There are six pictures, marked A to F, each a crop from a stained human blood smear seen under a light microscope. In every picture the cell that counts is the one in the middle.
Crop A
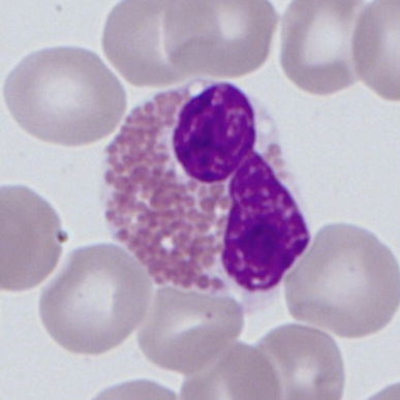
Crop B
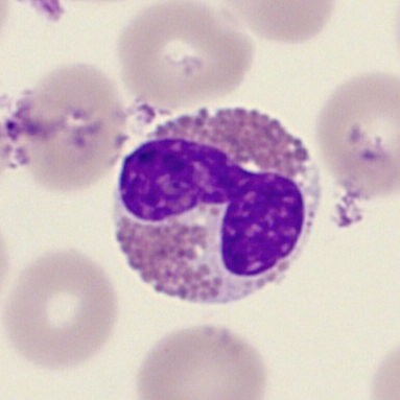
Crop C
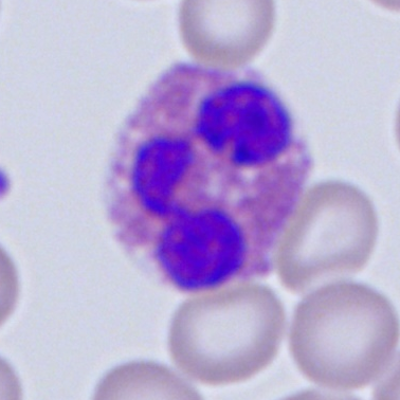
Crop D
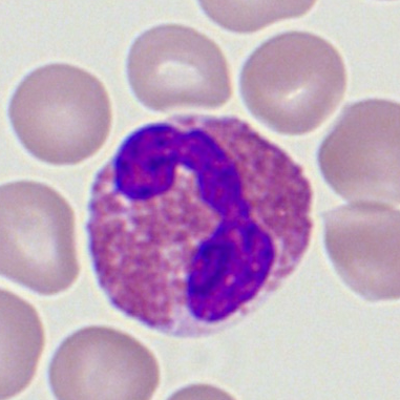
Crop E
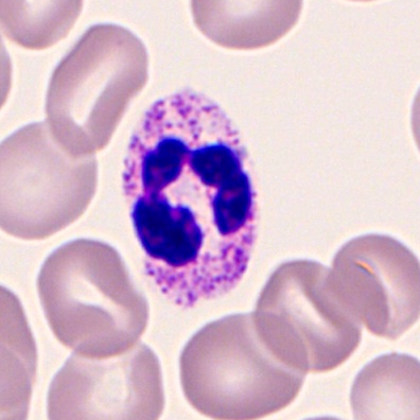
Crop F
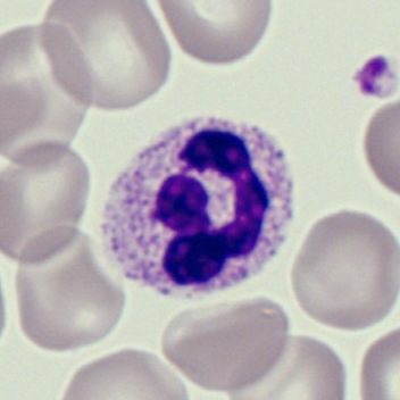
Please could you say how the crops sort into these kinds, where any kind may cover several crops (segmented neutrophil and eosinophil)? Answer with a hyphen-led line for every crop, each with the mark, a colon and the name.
- A: eosinophil
- B: eosinophil
- C: eosinophil
- D: eosinophil
- E: segmented neutrophil
- F: segmented neutrophil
